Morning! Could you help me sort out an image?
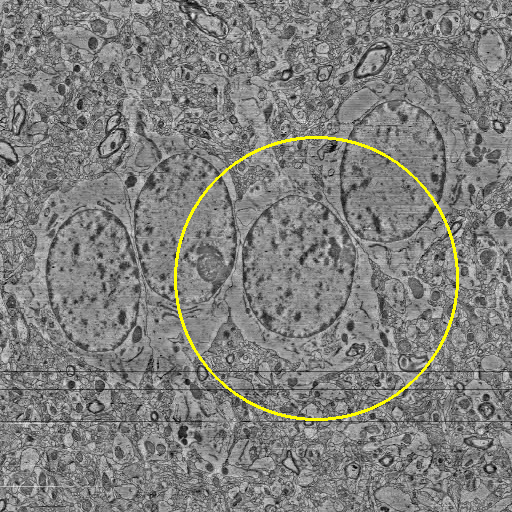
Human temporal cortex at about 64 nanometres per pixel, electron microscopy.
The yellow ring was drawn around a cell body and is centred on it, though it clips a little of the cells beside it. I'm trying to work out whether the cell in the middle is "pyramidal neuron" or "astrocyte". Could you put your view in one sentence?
The ringed cell body is that of an astrocyte.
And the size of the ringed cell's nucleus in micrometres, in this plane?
The ringed cell's nucleus is about 9 micrometres long and 7 micrometres wide in this plane.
